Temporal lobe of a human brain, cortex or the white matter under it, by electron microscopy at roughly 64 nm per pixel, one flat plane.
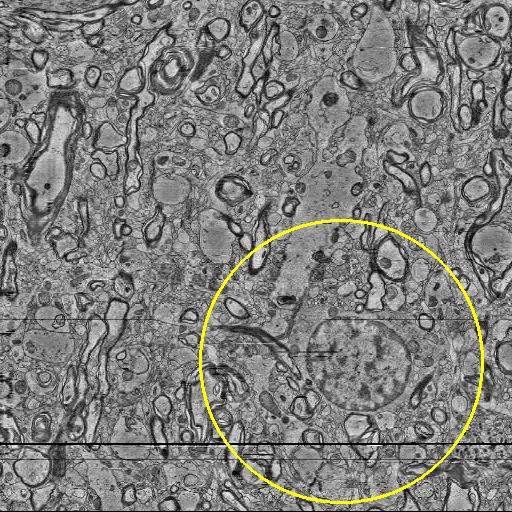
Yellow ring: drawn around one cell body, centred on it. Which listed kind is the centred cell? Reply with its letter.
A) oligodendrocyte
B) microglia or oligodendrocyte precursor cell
A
